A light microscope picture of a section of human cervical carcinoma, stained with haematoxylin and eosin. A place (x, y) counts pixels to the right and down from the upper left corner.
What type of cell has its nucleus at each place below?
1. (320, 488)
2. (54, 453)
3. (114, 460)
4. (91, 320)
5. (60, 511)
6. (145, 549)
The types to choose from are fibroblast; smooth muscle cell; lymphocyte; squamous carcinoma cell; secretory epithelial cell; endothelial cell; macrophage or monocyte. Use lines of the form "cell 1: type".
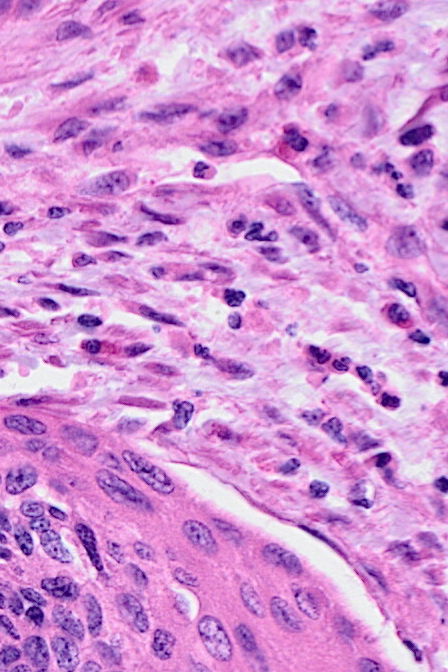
cell 1: lymphocyte
cell 2: squamous carcinoma cell
cell 3: squamous carcinoma cell
cell 4: lymphocyte
cell 5: squamous carcinoma cell
cell 6: squamous carcinoma cell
